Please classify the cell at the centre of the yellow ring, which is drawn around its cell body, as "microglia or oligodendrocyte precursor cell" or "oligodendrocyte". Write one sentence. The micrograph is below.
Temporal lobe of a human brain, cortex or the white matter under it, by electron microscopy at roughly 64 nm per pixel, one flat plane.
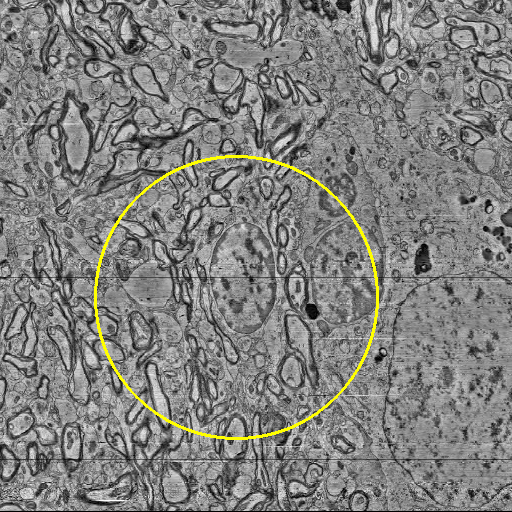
The cell at the ring's centre is classified as a microglial cell or oligodendrocyte precursor cell.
